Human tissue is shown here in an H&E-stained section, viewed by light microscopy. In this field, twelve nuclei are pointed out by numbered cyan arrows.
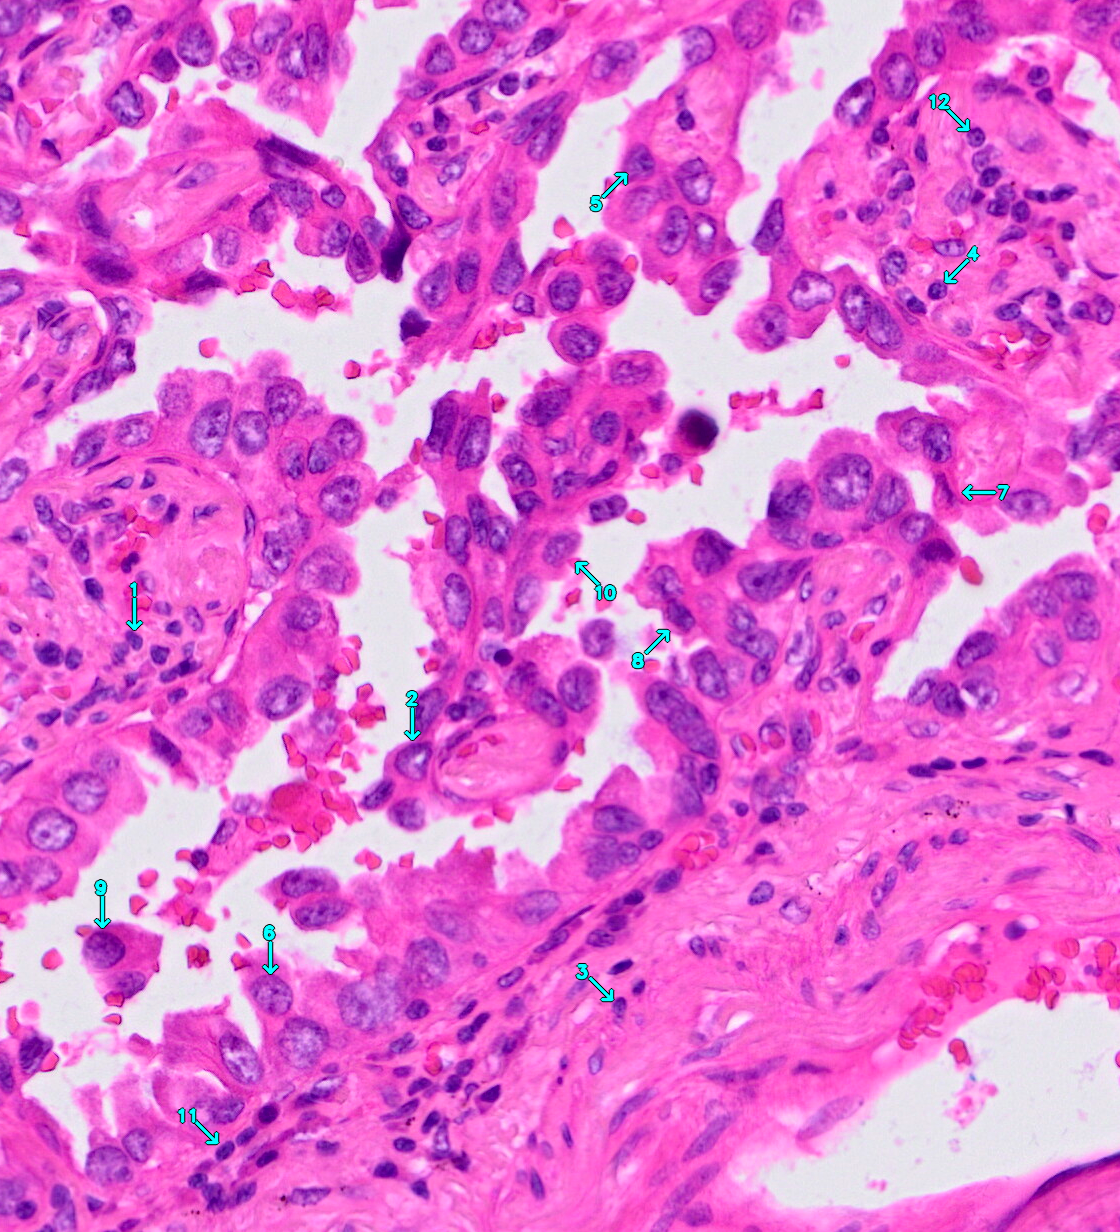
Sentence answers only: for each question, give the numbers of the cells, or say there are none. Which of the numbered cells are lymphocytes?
The cells numbered 1, 4, 11 and 12 are of the kind known as lymphocytes.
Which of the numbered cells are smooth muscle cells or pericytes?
Only the cell with the number 3 is a smooth muscle cell or pericyte.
